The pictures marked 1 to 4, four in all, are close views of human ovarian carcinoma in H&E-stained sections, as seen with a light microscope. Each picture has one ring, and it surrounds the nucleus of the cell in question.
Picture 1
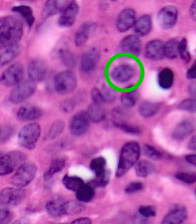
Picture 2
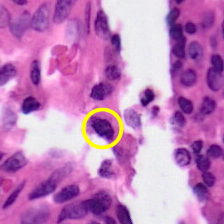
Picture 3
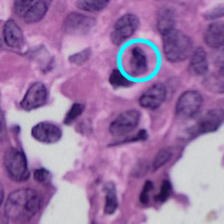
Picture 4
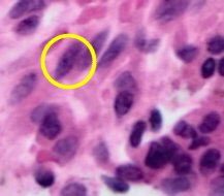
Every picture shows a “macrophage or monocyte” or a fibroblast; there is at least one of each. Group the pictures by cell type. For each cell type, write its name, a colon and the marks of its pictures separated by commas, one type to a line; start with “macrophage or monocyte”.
macrophage or monocyte: 1, 2, 3
fibroblast: 4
